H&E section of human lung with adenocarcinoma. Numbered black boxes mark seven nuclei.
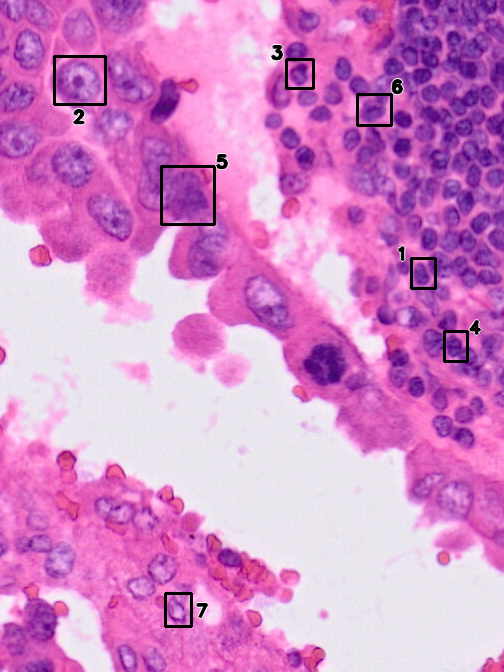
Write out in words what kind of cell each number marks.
Cells 1, 3, 4 and 6 are lymphocytes. Cells 2 and 5 are carcinoma cells. Cell 7 is a macrophage or monocyte.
